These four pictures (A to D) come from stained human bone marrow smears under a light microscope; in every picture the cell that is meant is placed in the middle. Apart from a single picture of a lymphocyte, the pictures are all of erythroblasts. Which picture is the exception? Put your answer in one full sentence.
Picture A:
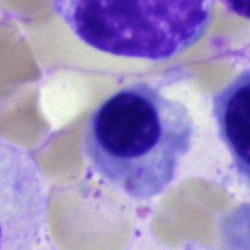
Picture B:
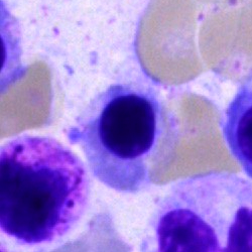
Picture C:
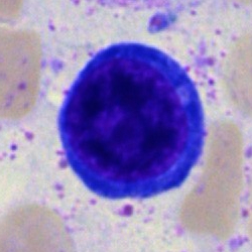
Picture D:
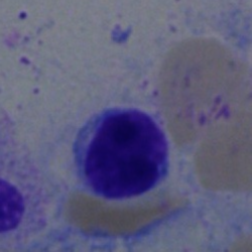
The lymphocyte is the one in picture D.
